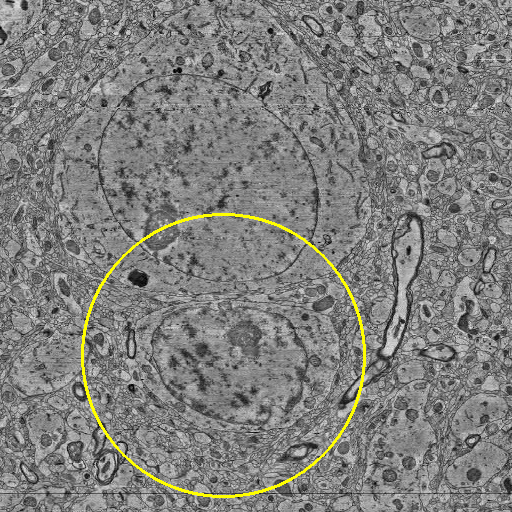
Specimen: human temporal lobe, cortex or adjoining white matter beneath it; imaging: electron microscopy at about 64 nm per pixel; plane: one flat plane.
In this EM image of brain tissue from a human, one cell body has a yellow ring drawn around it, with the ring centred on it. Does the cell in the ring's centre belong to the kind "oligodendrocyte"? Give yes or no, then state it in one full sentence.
No, in the picture, the cell centred in the yellow ring belongs to another kind.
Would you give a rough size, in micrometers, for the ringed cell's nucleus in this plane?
Roughly 10 by 8 micrometres is the size of the nucleus in this plane.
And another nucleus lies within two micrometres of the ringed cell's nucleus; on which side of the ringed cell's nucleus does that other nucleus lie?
That other nucleus lies above it.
